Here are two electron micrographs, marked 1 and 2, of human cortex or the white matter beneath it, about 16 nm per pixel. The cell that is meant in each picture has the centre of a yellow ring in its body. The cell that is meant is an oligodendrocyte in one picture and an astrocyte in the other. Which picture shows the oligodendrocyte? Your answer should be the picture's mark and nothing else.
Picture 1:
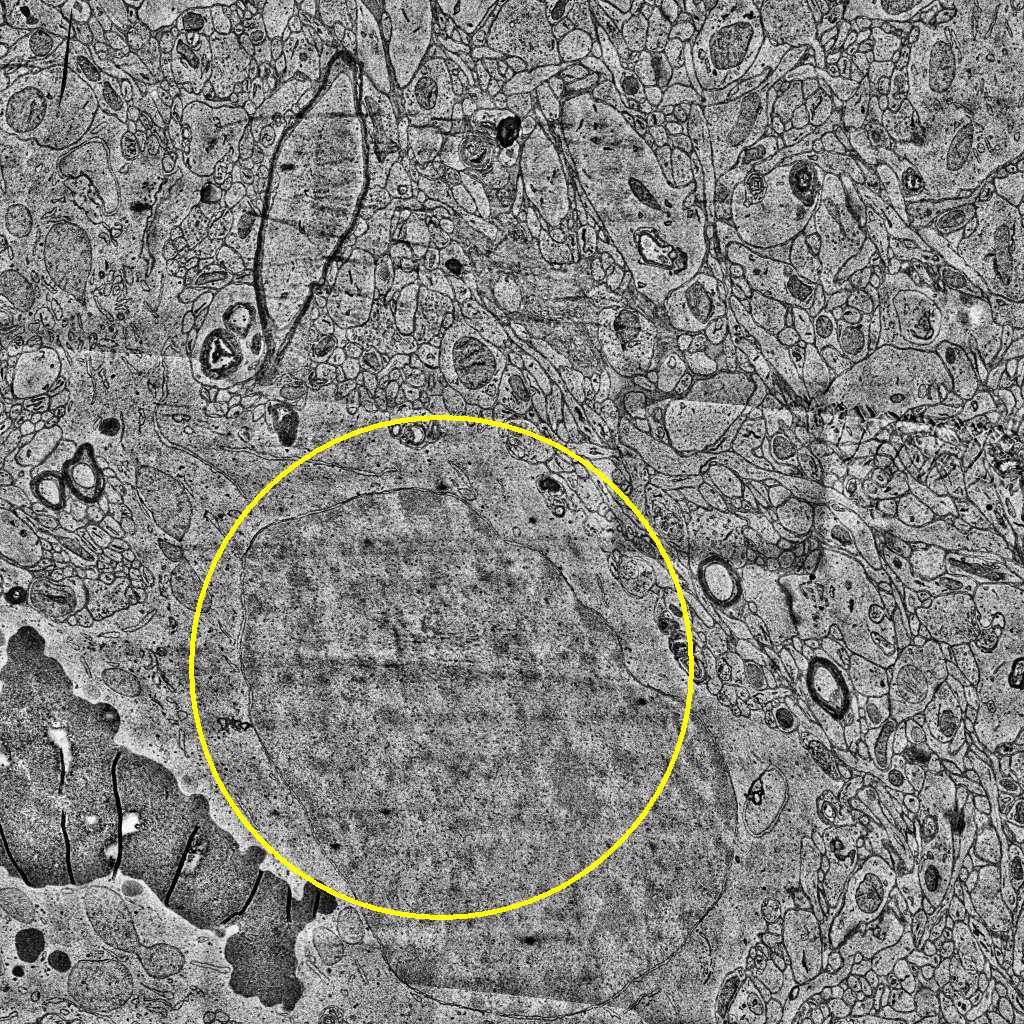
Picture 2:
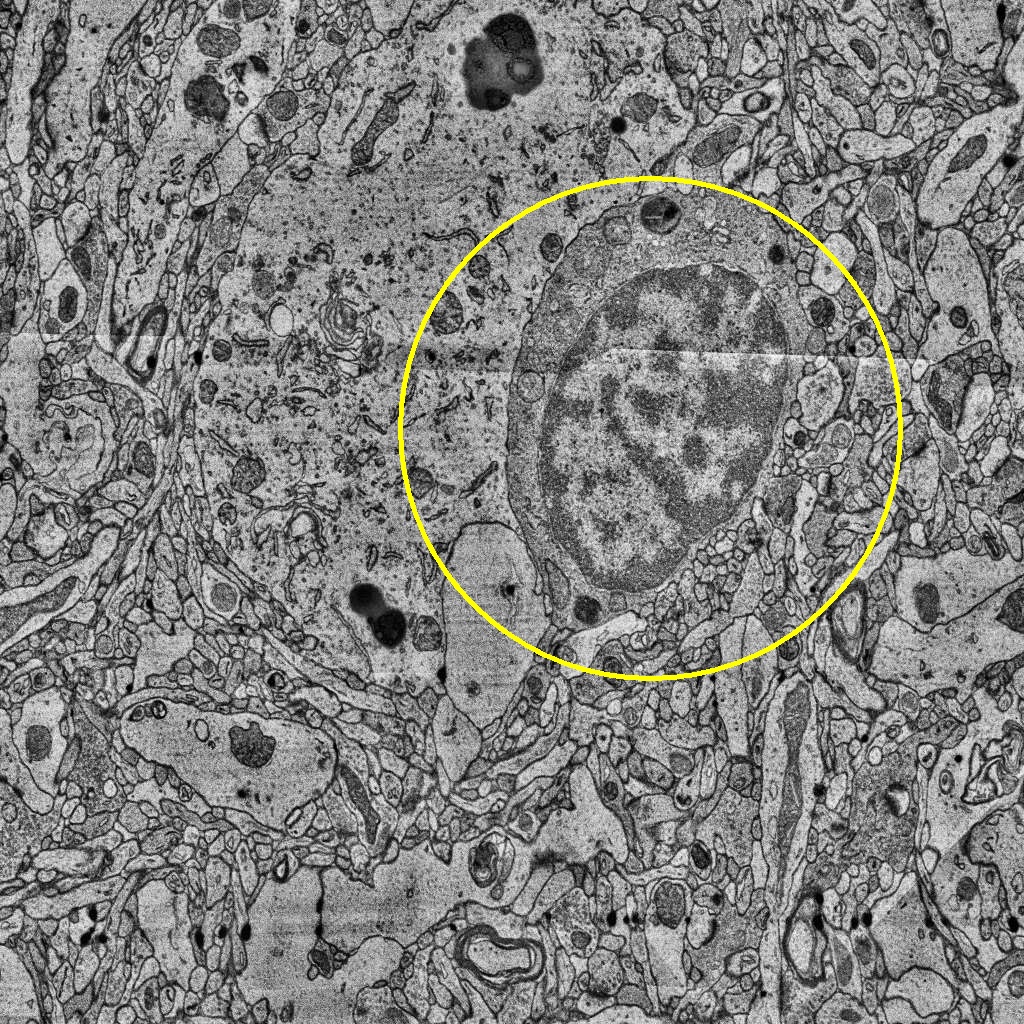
2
